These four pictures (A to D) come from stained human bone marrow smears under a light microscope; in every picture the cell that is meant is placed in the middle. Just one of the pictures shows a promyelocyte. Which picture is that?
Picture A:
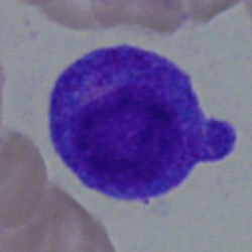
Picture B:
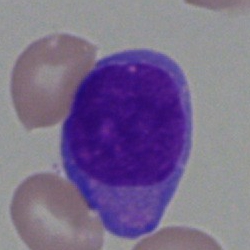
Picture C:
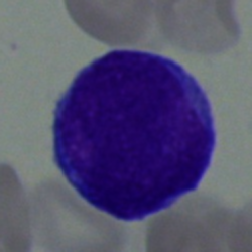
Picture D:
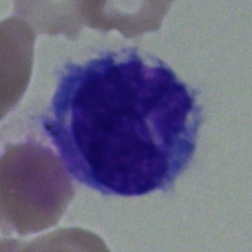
A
